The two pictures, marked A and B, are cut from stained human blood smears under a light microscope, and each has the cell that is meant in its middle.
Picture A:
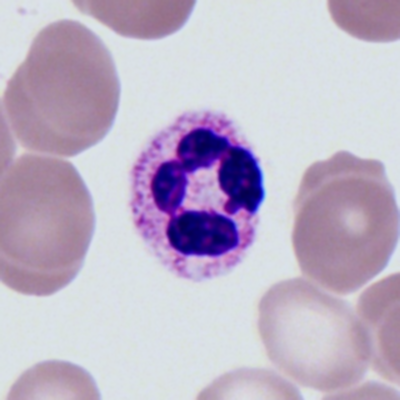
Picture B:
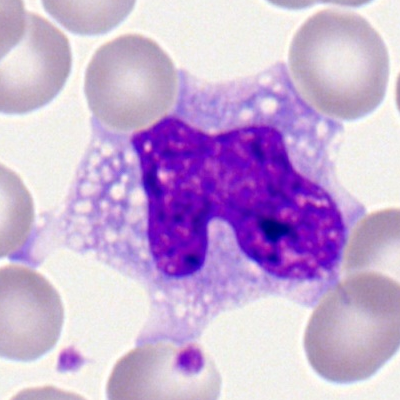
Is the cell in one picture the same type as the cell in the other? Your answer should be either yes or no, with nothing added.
no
